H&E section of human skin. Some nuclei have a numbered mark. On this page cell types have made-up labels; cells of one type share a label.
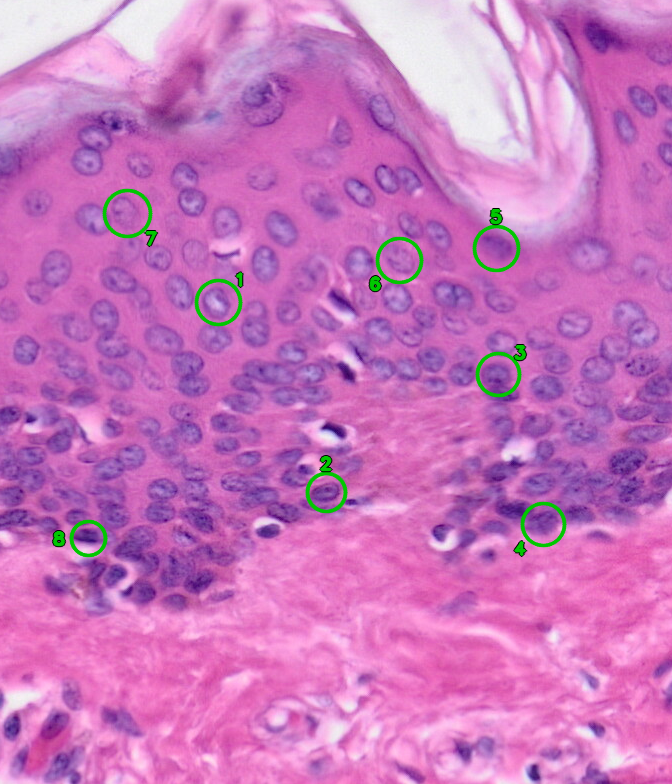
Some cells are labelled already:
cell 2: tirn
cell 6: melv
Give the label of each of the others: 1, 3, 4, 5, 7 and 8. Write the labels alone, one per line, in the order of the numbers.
melv
tirn
tirn
melv
melv
tirn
